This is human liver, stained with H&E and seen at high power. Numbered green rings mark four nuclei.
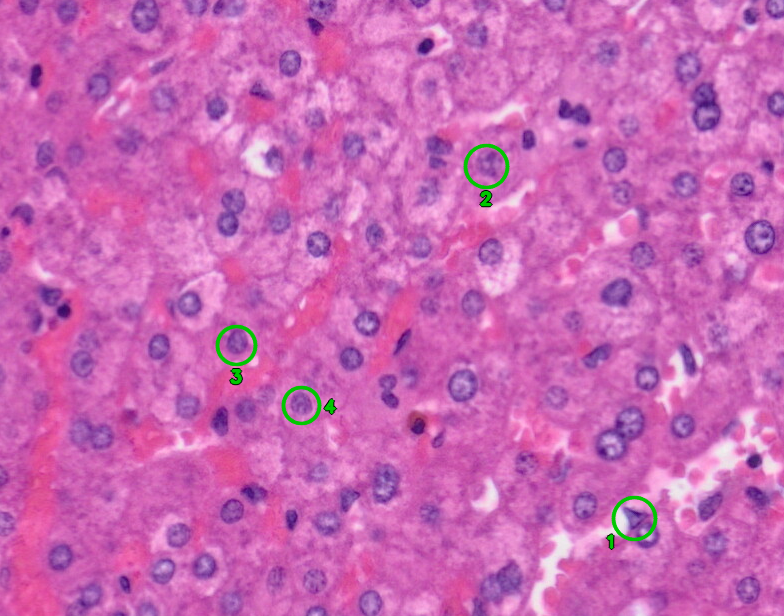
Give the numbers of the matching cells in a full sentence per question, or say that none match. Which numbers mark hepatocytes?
The cells tagged with numbers 2, 3 and 4 are hepatocytes.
